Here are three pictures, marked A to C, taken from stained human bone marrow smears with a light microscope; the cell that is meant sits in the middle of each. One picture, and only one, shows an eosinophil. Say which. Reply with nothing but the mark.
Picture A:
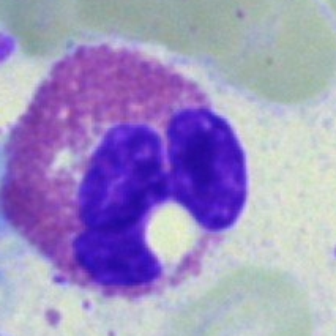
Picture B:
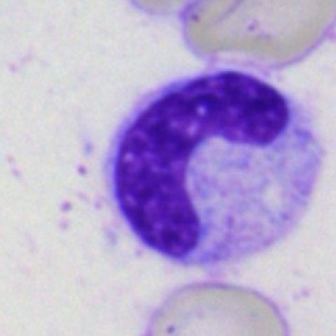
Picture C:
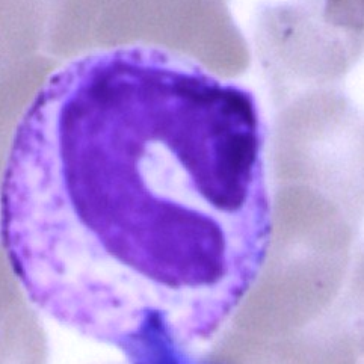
A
